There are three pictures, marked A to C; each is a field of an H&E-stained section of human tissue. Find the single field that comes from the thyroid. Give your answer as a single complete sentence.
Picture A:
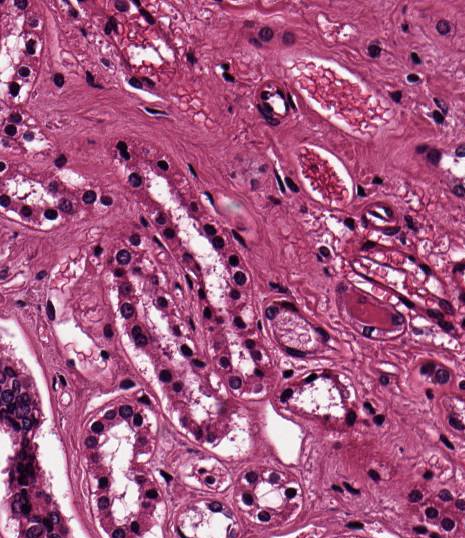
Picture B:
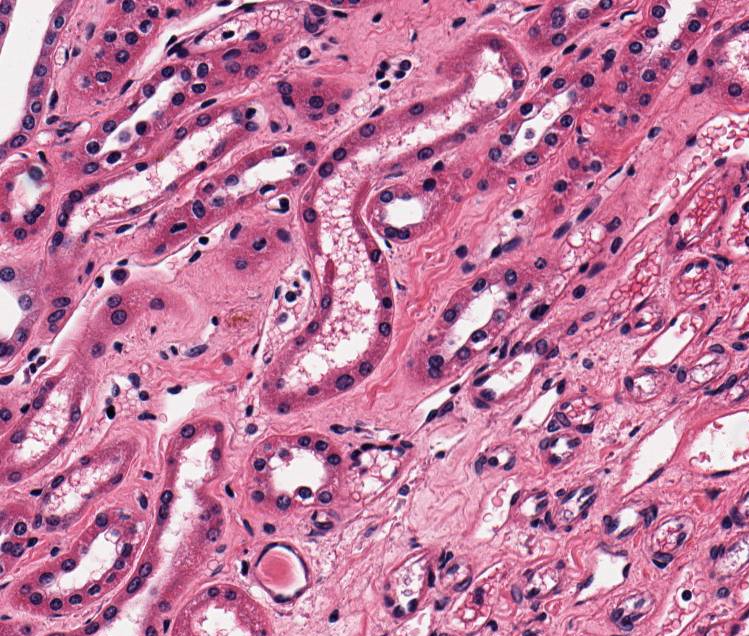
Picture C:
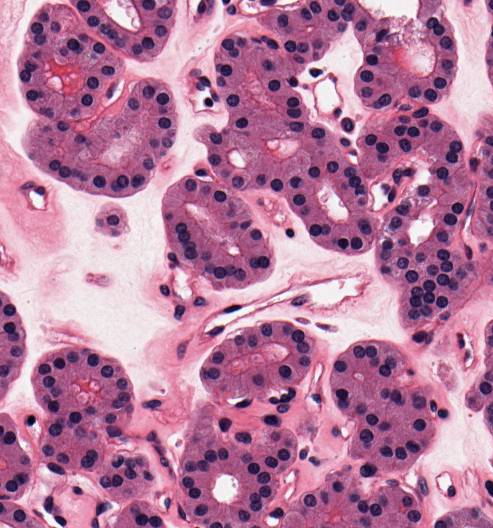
Picture C comes from the thyroid.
